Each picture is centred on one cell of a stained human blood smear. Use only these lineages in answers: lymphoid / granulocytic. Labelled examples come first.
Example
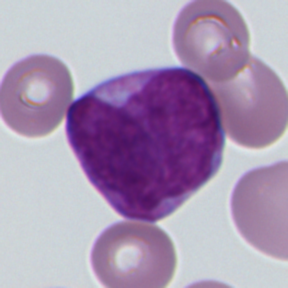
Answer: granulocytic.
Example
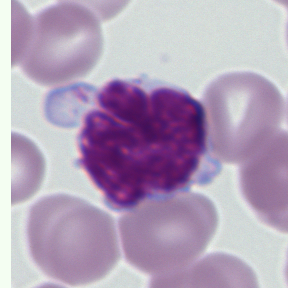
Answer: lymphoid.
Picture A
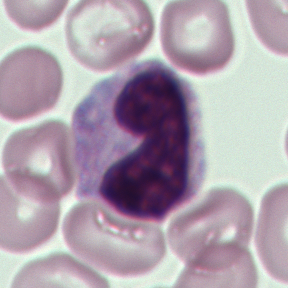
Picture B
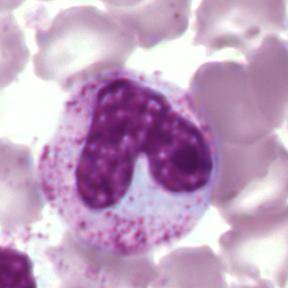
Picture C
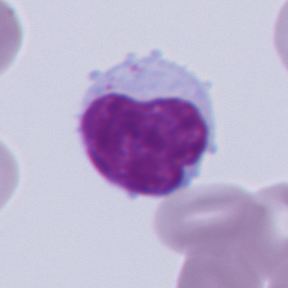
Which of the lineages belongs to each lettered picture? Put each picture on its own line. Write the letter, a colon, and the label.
A: granulocytic.
B: granulocytic.
C: lymphoid.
